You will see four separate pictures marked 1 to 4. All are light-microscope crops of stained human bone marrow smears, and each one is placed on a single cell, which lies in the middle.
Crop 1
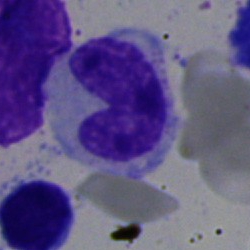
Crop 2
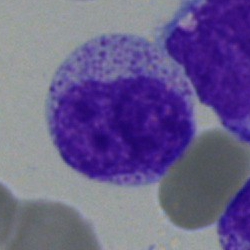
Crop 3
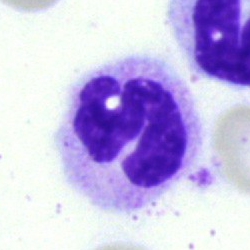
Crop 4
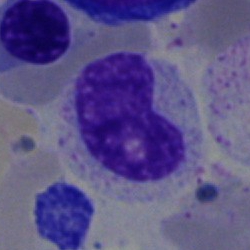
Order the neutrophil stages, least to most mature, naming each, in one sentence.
The order of maturity, lowest to highest, is crop 2 (a myelocyte), crop 4 (a metamyelocyte), crop 1 (a band neutrophil) and crop 3 (a segmented neutrophil).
